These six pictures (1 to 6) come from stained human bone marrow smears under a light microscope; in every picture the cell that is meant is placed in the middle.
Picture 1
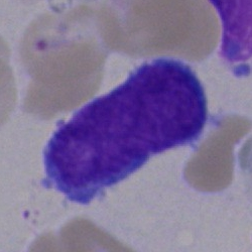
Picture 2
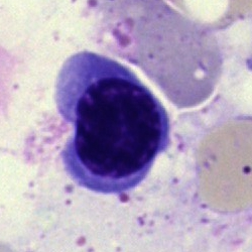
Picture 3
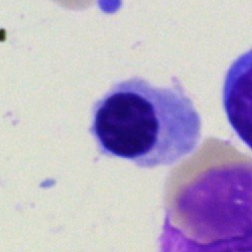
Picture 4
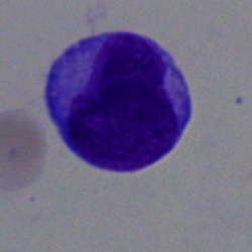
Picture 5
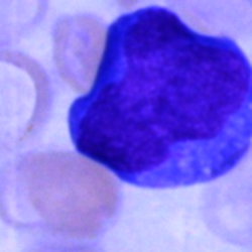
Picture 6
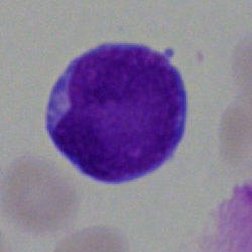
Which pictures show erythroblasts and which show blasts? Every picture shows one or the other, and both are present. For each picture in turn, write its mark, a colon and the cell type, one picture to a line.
1: blast
2: erythroblast
3: erythroblast
4: blast
5: blast
6: blast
